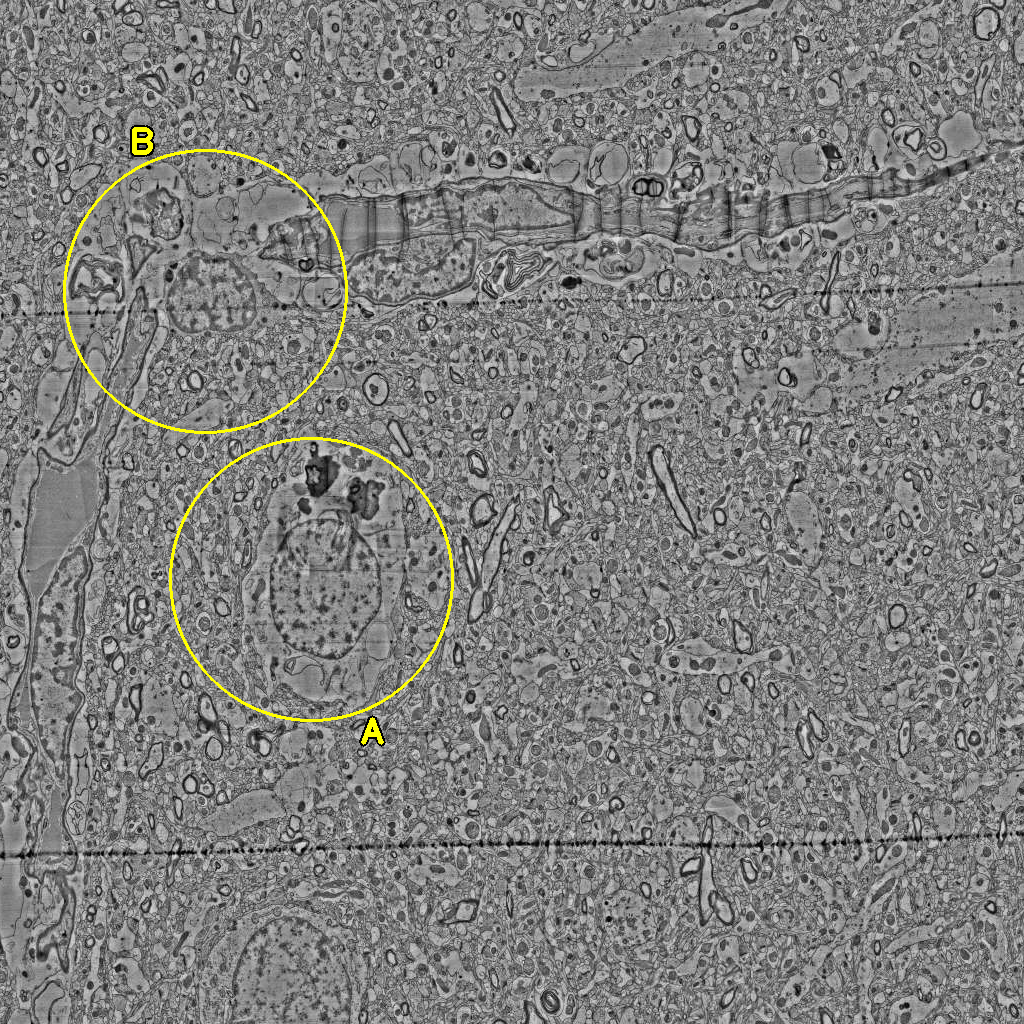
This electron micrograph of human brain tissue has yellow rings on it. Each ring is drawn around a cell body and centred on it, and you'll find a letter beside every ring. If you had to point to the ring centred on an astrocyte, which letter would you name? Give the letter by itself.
A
